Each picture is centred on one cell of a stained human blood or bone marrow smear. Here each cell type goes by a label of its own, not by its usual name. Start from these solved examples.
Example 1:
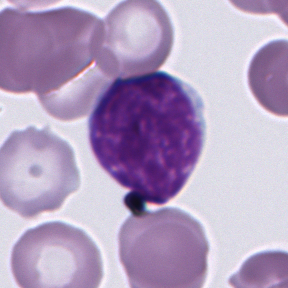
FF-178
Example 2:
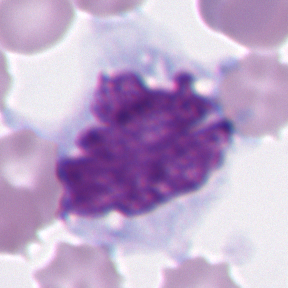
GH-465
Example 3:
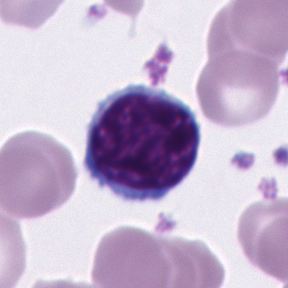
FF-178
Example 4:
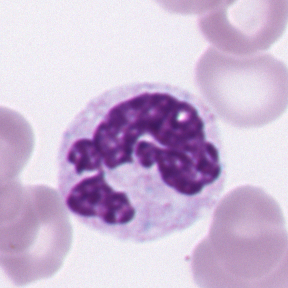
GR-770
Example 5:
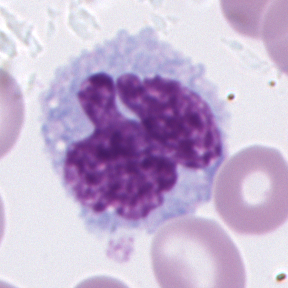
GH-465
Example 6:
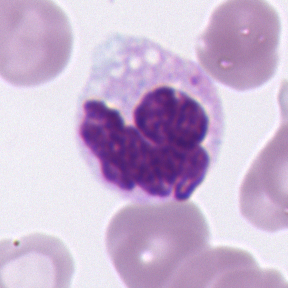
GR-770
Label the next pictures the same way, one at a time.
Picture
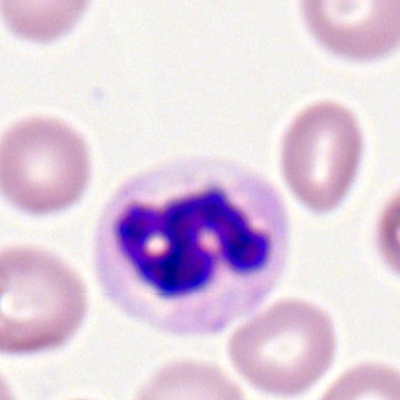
GR-770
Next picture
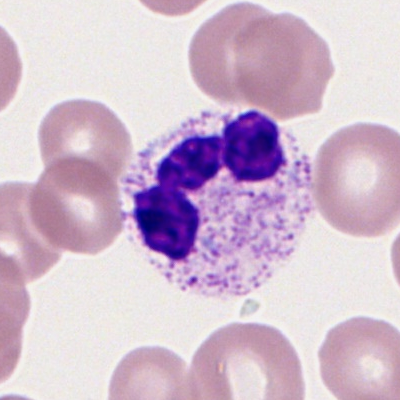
GR-770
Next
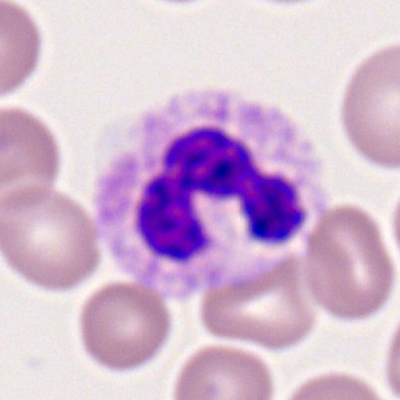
GR-770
